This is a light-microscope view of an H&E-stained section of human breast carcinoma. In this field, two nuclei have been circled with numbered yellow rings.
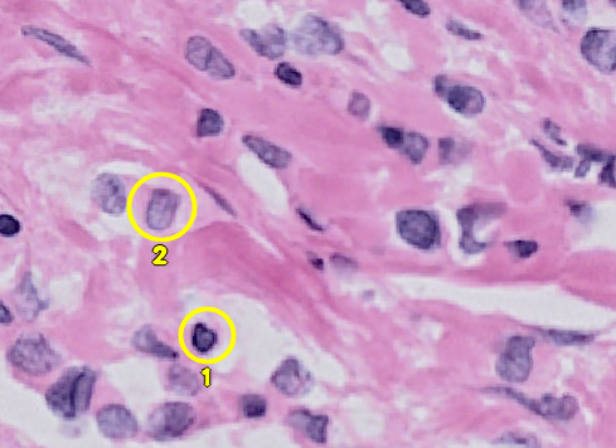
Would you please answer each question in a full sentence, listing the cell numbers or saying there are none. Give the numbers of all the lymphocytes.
Across all the numbered cells, only number 1 is a lymphocyte.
